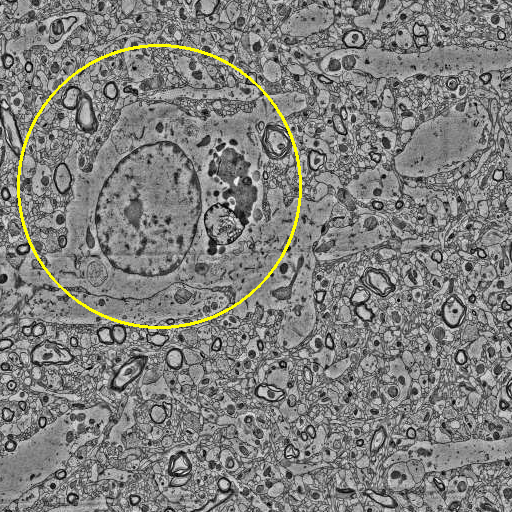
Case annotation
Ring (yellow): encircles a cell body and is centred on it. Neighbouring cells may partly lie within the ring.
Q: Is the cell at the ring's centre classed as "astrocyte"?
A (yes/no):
yes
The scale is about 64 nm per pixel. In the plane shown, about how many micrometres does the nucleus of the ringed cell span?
Approximately 9 micrometres long and 7 micrometres wide, in this plane.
